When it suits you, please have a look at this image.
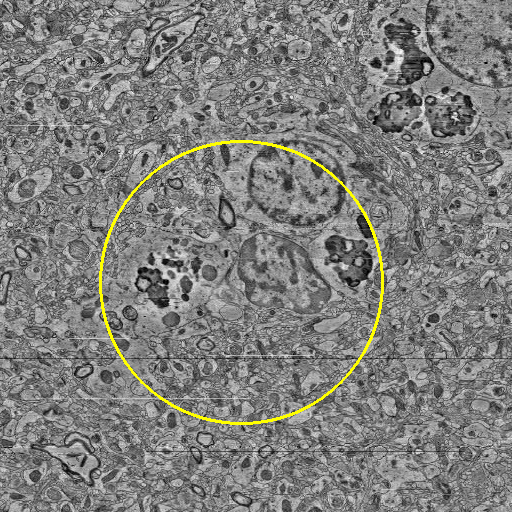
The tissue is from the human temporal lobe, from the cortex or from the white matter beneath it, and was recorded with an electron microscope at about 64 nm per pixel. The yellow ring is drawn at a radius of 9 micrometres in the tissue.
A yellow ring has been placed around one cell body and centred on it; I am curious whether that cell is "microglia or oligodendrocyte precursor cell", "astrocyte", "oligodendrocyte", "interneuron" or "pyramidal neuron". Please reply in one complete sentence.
The ringed cell, a microglial cell or oligodendrocyte precursor cell, has its body at the centre of the yellow ring.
